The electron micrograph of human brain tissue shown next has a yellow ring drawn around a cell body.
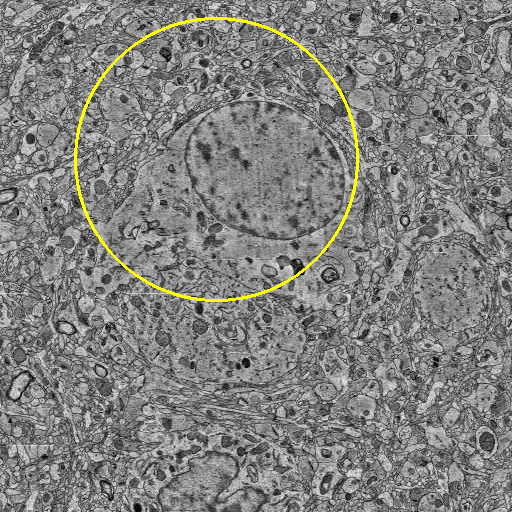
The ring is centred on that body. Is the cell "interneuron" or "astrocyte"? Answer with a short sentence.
The cell in question is an astrocyte.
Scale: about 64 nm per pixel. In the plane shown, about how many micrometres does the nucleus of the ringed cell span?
The ringed cell's nucleus measures approximately 11 by 9 micrometres in this plane.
